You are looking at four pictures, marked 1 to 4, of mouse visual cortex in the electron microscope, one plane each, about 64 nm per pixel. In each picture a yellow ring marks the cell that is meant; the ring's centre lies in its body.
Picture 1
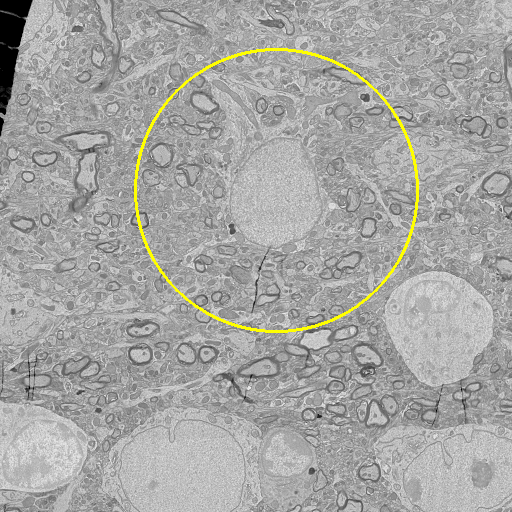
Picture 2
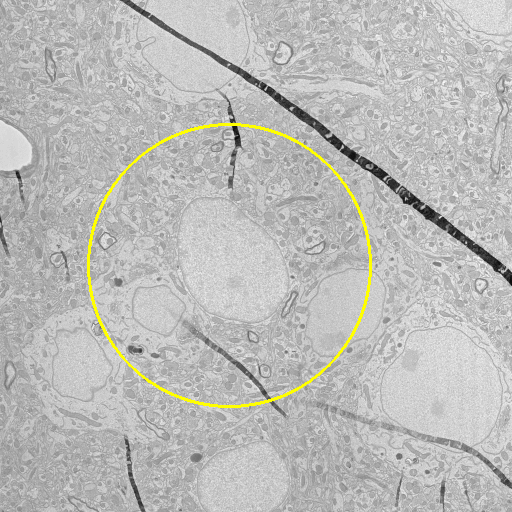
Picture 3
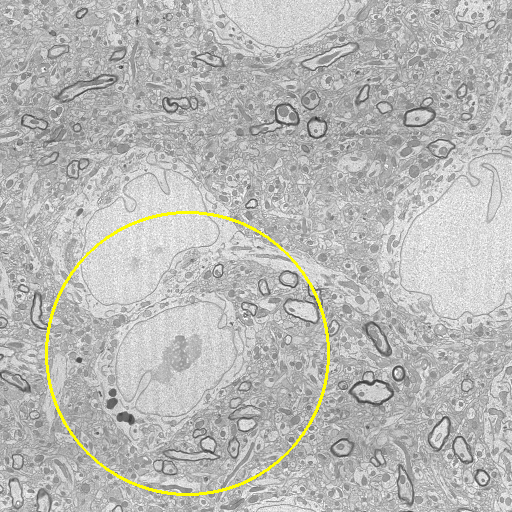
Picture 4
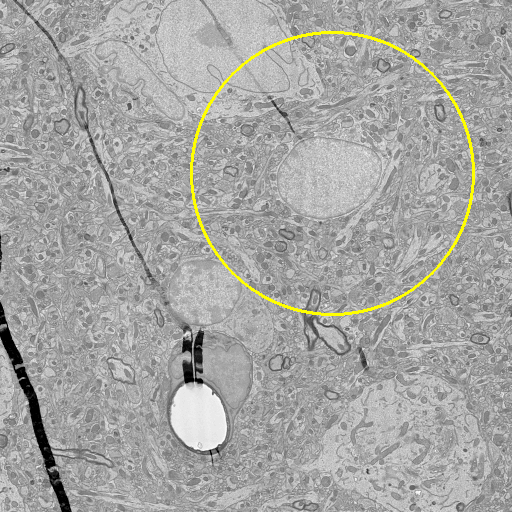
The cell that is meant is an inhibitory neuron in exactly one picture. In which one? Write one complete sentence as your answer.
Picture 3 is the one that shows the inhibitory neuron.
